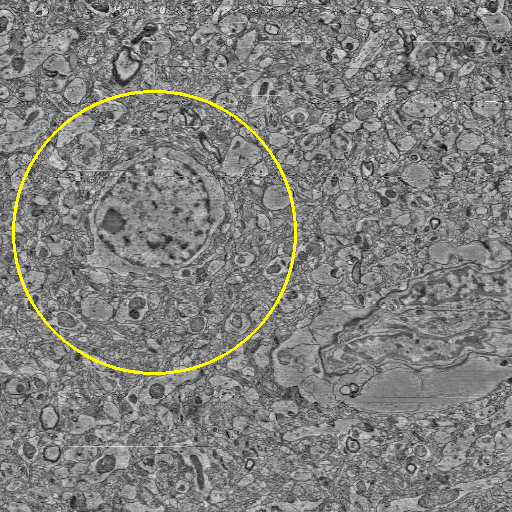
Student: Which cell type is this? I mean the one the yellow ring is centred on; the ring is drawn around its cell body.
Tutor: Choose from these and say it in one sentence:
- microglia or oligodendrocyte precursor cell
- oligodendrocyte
The cell the ring is centred on is a microglial cell or oligodendrocyte precursor cell.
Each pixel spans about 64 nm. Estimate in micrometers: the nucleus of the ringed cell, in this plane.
Roughly 7 micrometres across, measured in this plane.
